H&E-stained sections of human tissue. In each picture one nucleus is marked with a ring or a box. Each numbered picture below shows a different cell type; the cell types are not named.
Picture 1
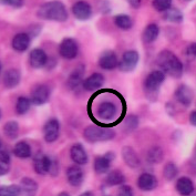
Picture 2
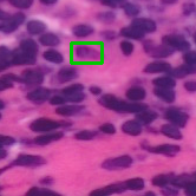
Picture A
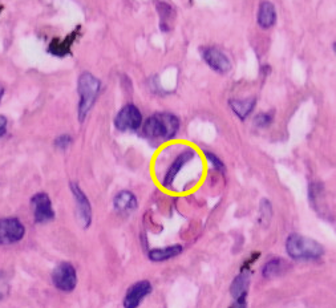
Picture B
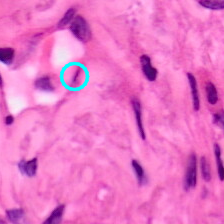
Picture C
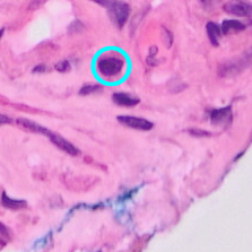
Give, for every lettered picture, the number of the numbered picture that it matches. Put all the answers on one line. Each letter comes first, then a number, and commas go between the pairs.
A 2, B 2, C 1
